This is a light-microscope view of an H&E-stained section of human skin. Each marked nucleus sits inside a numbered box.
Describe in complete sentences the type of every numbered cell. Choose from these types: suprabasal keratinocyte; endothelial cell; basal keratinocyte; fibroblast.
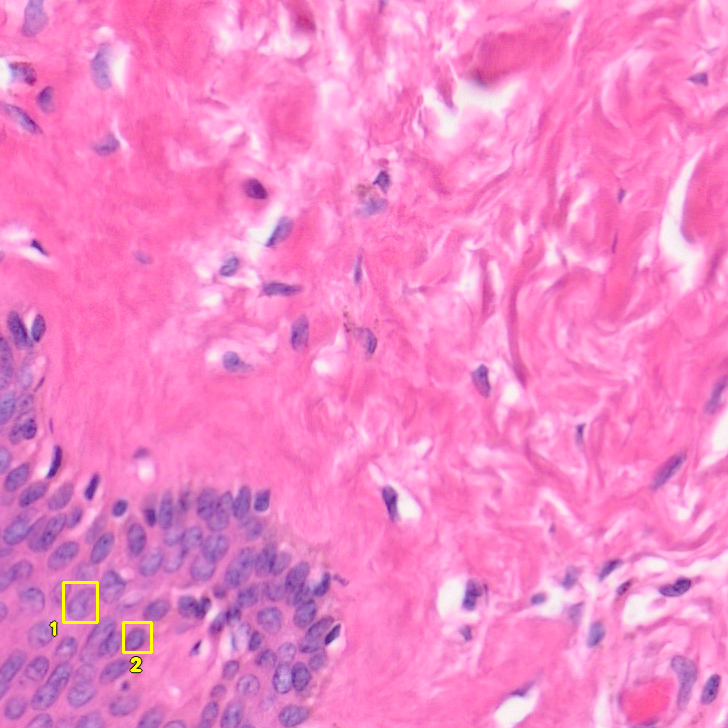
Cell 1 is a suprabasal keratinocyte and cell 2 is a basal keratinocyte.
